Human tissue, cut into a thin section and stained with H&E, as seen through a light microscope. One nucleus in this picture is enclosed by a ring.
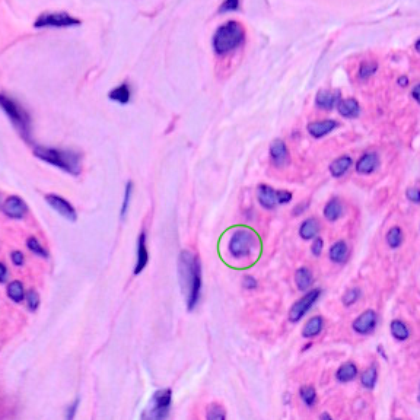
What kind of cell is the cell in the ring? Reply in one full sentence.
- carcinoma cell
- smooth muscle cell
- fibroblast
What the cell in the ring represents is a smooth muscle cell.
